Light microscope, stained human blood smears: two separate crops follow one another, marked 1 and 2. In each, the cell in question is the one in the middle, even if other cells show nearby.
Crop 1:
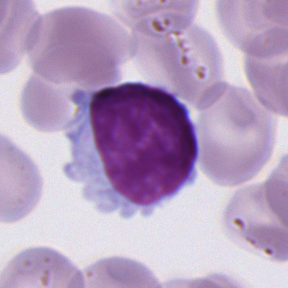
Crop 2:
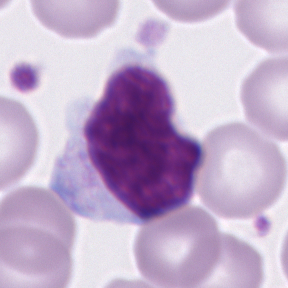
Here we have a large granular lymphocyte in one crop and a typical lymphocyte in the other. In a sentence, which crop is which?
Represented in crop 1 is a typical lymphocyte; represented in crop 2 is a large granular lymphocyte.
